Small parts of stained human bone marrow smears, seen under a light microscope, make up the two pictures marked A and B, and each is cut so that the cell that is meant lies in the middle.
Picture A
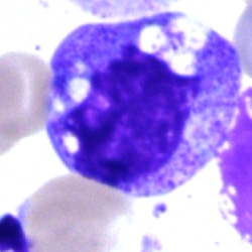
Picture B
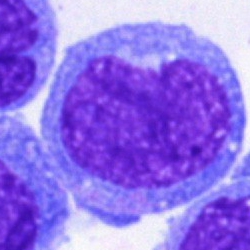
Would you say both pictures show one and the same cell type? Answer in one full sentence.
No, they differ: the cell is a promyelocyte in picture A and a blast in picture B.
